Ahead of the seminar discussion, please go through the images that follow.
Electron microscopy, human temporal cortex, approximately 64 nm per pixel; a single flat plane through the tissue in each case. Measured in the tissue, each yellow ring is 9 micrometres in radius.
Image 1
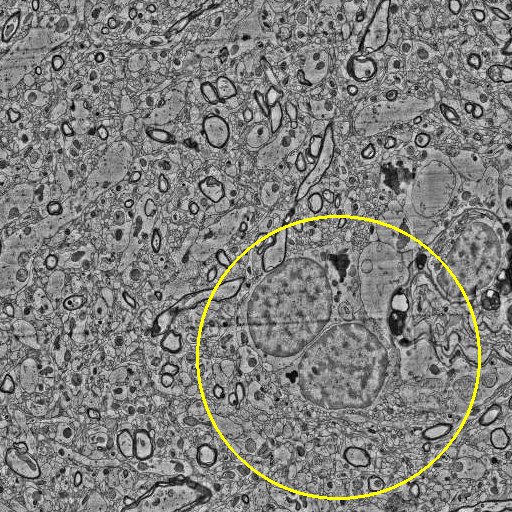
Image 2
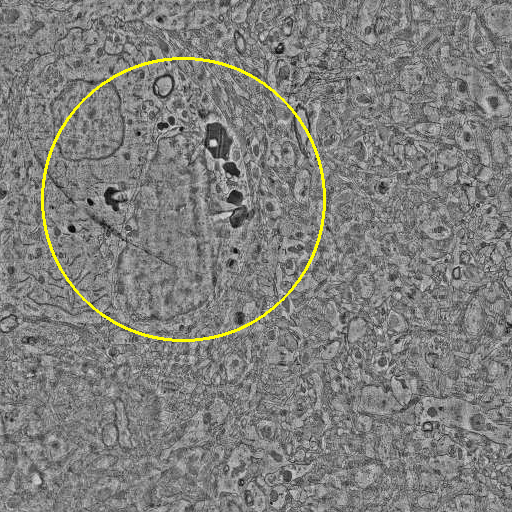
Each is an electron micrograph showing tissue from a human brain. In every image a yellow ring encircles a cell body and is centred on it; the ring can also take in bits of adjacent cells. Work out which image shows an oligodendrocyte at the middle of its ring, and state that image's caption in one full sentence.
In Image 1, the ring's centre holds the cell you are looking for.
